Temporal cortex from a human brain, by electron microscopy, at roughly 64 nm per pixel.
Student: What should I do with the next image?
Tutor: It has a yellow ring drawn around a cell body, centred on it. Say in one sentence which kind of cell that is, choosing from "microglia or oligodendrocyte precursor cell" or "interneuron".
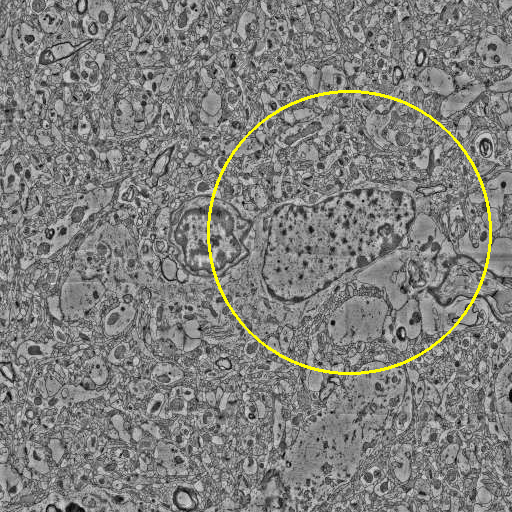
The ring's centre is occupied by a microglial cell or oligodendrocyte precursor cell.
